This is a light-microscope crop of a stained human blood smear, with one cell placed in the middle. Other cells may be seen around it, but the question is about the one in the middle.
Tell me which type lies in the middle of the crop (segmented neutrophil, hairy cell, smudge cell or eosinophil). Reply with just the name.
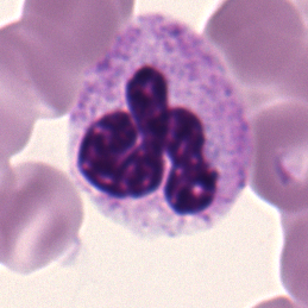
segmented neutrophil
